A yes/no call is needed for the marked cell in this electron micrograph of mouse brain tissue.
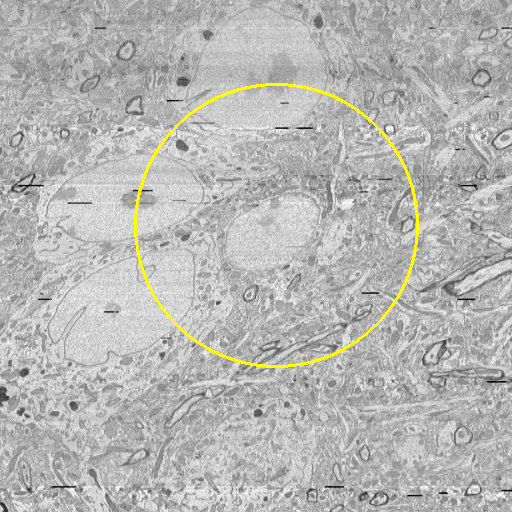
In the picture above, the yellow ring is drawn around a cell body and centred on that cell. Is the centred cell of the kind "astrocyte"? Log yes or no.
yes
